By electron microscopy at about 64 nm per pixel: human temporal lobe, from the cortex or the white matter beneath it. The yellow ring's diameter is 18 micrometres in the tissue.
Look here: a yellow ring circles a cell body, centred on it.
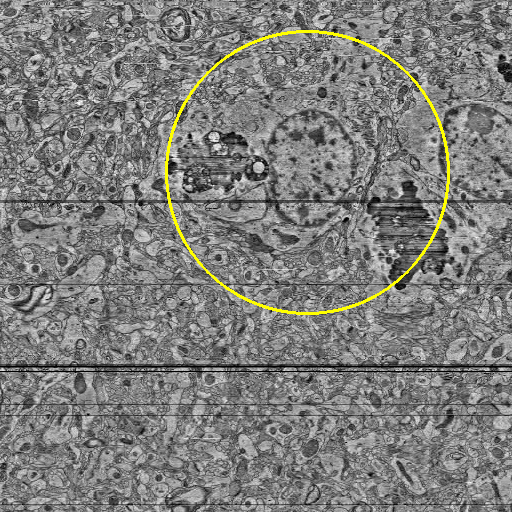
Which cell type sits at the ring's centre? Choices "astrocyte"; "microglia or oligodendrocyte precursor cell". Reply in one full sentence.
The cell at the centre of the yellow ring in the picture is an astrocyte.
